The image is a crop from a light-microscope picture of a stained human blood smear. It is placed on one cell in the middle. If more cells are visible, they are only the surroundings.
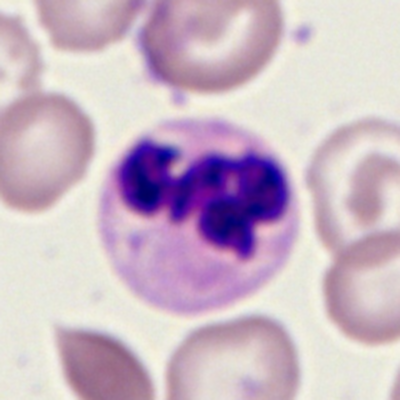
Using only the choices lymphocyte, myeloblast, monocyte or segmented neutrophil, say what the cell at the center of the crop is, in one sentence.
The cell centered in this field of view is a segmented neutrophil.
